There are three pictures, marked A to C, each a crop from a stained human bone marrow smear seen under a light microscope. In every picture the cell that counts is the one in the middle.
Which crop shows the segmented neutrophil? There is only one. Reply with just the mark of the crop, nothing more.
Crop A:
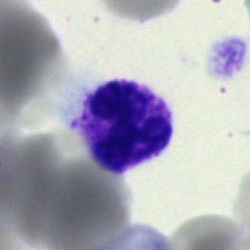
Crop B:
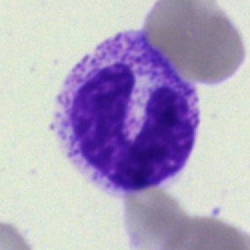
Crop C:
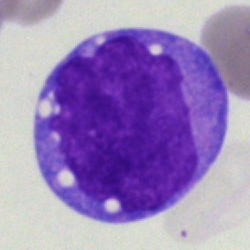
A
